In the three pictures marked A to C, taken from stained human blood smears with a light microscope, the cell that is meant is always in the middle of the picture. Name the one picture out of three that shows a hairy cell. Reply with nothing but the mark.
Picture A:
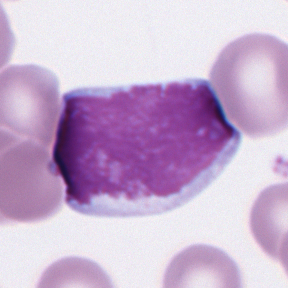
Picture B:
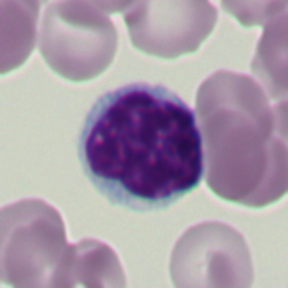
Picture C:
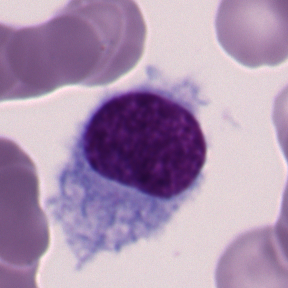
C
